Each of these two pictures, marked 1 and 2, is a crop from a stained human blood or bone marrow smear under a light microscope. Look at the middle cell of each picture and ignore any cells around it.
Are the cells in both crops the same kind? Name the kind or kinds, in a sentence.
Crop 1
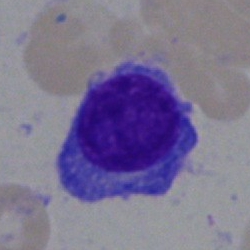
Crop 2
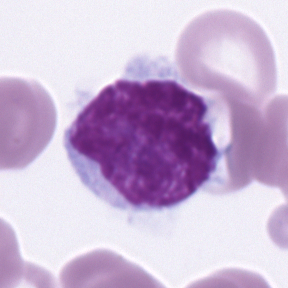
No, the cell in crop 1 is a plasma cell and the one in crop 2 is a hairy cell.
